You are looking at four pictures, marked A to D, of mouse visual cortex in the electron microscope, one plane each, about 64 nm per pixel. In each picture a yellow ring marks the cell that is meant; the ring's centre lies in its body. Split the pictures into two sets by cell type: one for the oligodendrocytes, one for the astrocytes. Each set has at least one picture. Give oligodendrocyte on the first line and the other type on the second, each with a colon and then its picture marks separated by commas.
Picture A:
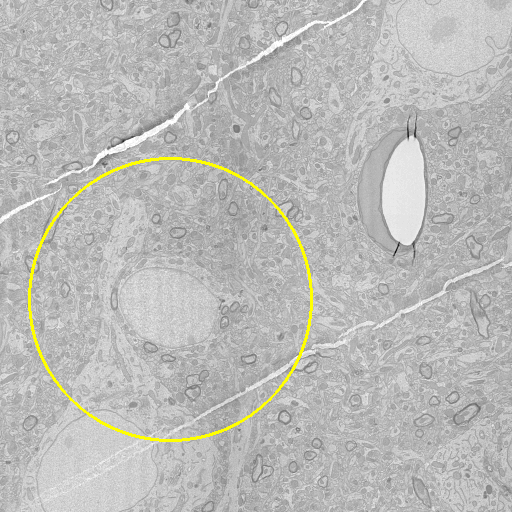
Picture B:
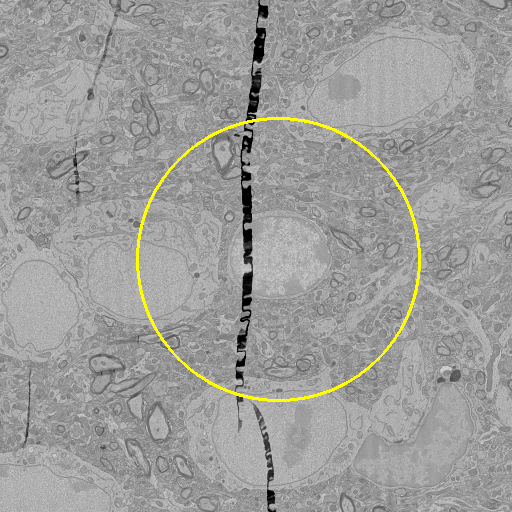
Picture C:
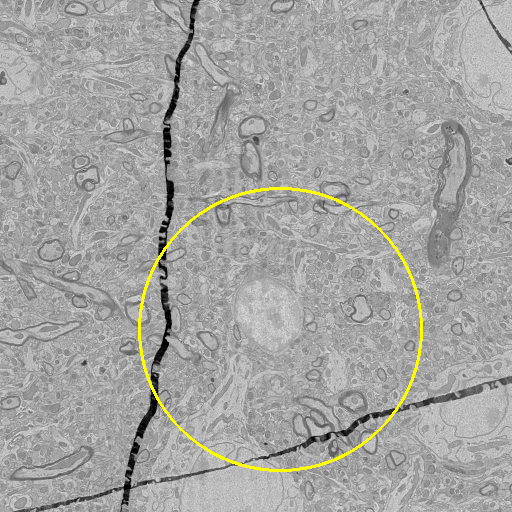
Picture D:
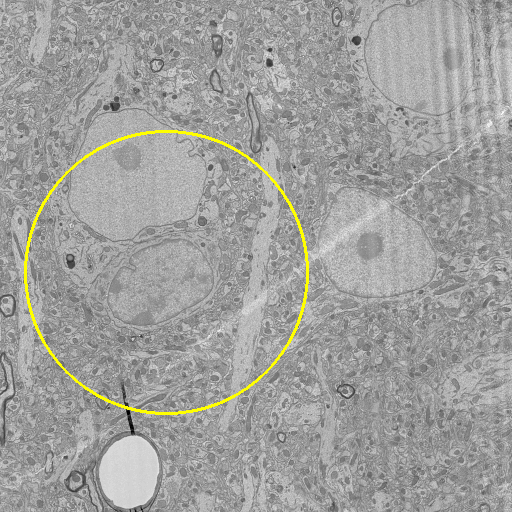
oligodendrocyte: B, C, D
astrocyte: A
